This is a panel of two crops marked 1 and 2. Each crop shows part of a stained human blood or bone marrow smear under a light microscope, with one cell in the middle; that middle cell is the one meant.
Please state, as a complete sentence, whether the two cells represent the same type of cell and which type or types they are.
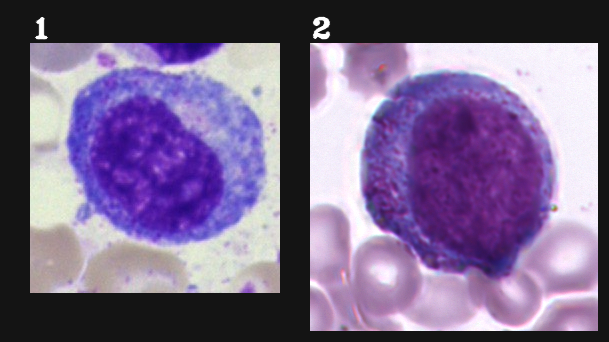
Yes, both crops show promyelocytes, each crop centred on one of them.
